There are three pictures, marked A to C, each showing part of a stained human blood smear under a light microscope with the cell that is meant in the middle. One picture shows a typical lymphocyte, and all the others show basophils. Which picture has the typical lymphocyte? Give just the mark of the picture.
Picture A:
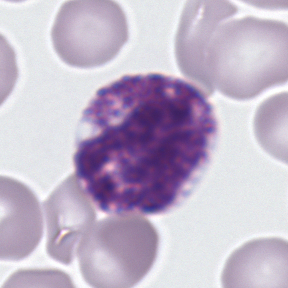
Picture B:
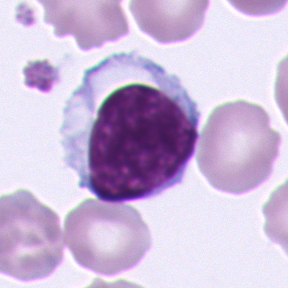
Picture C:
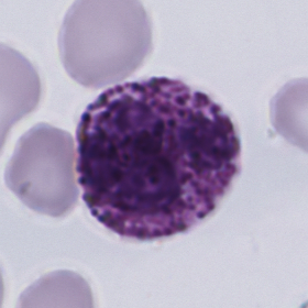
B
